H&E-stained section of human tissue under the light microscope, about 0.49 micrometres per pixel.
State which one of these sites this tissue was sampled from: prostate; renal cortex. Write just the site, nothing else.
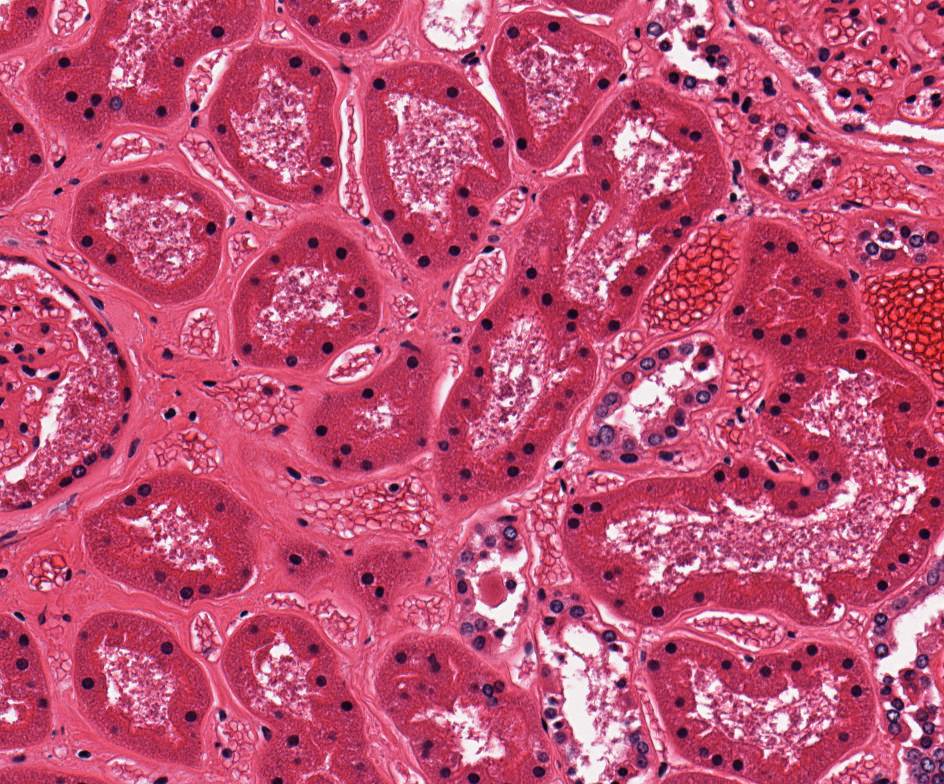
renal cortex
